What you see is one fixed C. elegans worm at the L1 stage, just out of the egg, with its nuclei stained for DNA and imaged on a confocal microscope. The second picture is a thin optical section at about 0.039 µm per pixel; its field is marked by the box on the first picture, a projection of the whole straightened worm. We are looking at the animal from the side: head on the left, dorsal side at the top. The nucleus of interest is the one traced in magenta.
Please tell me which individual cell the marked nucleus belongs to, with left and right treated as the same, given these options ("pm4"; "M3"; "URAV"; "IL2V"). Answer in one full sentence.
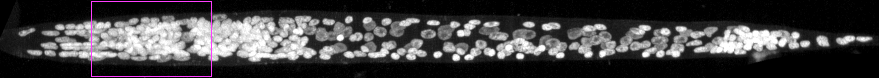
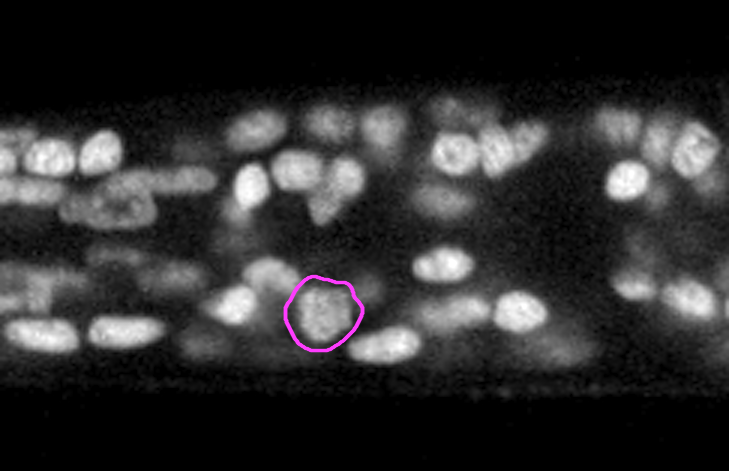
The marked cell is pm4, a pharyngeal muscle cell.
